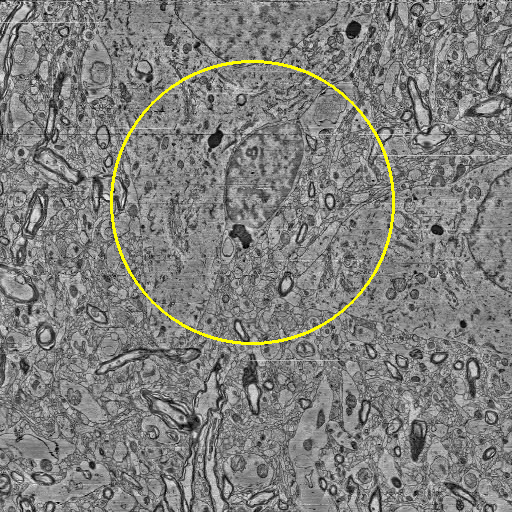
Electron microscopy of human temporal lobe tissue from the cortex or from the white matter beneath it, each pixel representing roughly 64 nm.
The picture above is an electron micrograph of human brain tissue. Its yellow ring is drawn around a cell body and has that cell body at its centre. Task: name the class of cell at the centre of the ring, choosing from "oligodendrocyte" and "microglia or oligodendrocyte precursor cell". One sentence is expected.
The ring surrounds the body of an oligodendrocyte.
